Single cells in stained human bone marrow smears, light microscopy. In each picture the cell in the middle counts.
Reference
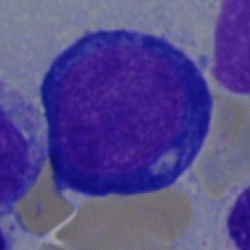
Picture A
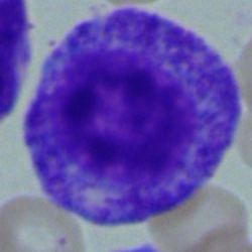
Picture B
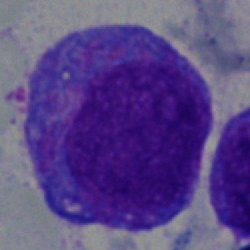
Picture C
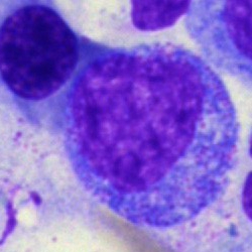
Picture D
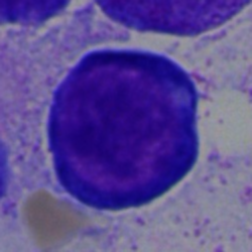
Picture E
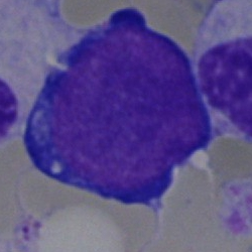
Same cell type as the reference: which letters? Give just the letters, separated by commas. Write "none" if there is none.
D, E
